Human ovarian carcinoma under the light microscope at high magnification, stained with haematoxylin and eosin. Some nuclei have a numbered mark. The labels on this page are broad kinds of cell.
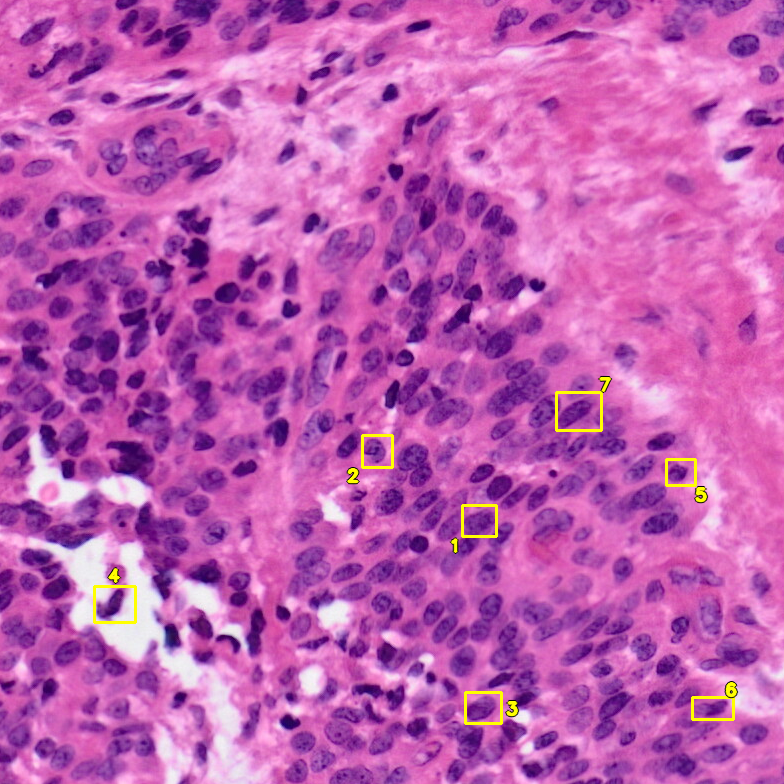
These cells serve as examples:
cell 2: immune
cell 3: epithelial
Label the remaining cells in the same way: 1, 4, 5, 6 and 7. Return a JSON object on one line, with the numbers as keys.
{"1": "epithelial", "4": "epithelial", "5": "immune", "6": "immune", "7": "epithelial"}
